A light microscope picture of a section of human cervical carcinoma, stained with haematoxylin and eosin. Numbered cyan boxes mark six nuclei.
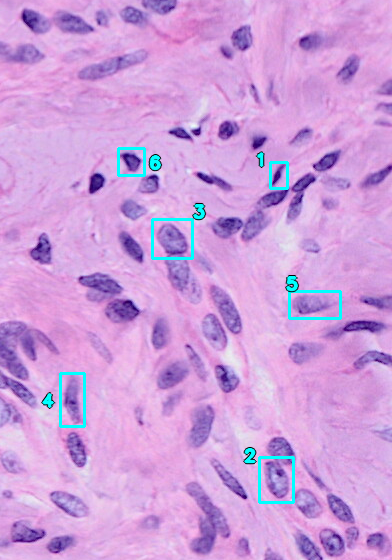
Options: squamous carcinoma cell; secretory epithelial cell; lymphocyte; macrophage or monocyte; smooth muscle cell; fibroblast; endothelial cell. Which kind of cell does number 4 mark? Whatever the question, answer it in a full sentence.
The cell given label 4 is a fibroblast.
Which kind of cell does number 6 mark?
The correct label for cell 6 is a fibroblast.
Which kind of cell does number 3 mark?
The numbered cell 3 is identified here as an endothelial cell.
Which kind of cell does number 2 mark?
What the number 2 marks in this field is an endothelial cell.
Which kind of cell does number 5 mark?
In this section, the cell tagged 5 is a fibroblast.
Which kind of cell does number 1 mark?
In the marked set, the cell given number 1 is a fibroblast.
